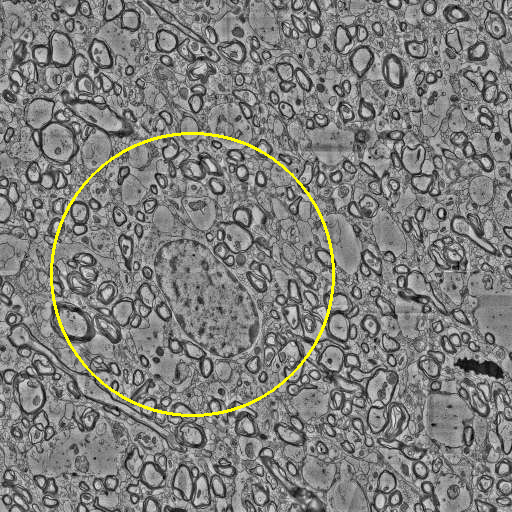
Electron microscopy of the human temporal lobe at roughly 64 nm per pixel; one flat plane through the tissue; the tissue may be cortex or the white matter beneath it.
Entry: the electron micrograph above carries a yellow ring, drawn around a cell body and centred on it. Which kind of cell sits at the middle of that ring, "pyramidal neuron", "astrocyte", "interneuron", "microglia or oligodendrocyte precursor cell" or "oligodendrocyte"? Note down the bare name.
microglia or oligodendrocyte precursor cell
